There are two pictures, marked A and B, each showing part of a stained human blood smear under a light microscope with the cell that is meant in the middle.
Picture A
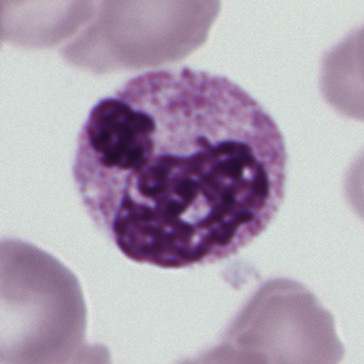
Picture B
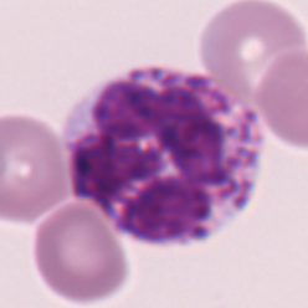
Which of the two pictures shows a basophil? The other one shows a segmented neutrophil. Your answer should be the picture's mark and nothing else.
B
